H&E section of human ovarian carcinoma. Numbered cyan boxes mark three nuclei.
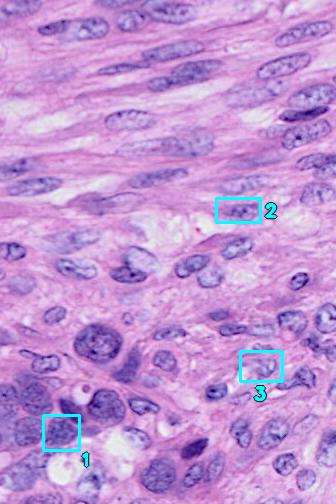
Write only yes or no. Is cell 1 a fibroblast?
no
